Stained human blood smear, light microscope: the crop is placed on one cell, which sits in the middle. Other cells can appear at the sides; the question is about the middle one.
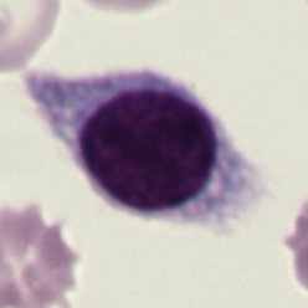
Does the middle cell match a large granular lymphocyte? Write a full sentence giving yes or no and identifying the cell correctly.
No, the identification should read a hairy cell, not a large granular lymphocyte, for the central cell.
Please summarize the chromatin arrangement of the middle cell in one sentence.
One feature to record is coarsely clumped chromatin.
